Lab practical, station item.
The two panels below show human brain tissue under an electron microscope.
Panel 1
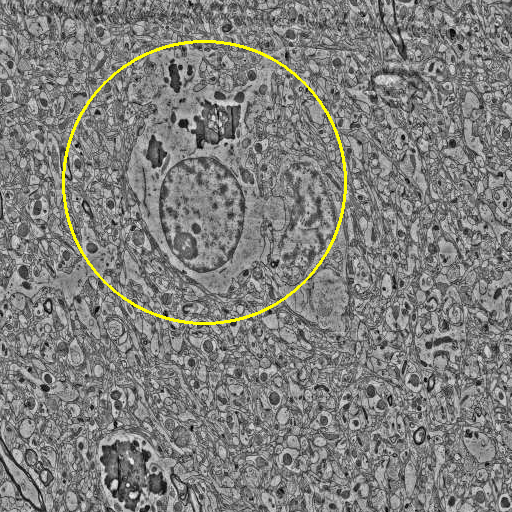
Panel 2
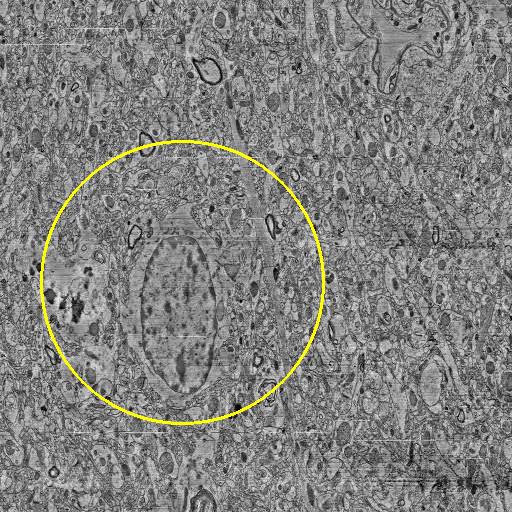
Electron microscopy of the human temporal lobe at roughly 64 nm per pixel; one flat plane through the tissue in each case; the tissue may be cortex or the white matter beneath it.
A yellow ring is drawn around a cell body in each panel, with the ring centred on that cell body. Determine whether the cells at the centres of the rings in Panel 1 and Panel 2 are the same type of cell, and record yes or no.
yes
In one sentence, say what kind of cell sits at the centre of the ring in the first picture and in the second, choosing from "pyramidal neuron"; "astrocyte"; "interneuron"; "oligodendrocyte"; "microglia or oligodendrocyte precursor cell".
Both rings mark an astrocyte, one in each picture.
